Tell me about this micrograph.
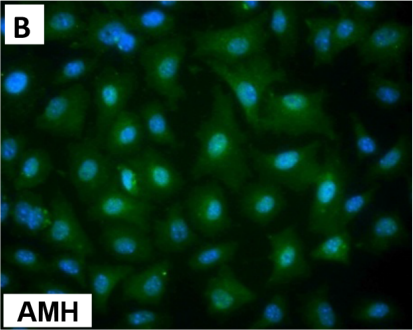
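Green fluorescence fills the cytoplasm diffusely and outlines the spread cell bodies, somewhat denser around the nucleus. Neighbouring cells touch or lie close together with narrow dark gaps between them.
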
